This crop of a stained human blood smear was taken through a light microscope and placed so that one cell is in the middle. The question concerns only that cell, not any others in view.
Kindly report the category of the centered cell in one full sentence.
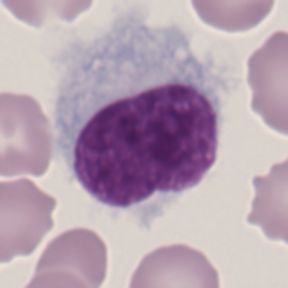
The identification for the central cell is a hairy cell.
